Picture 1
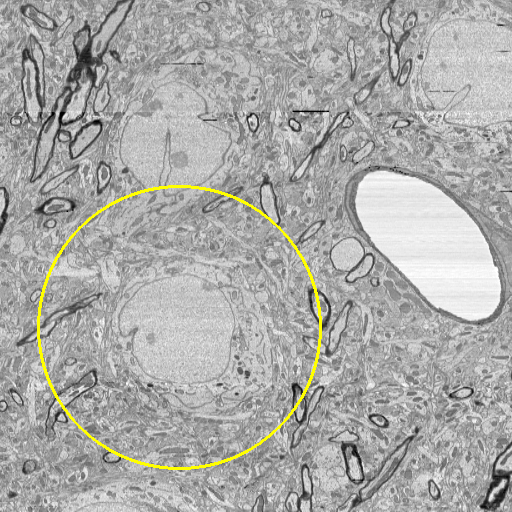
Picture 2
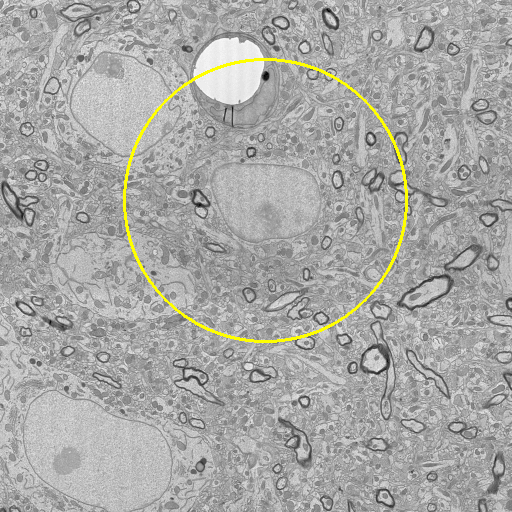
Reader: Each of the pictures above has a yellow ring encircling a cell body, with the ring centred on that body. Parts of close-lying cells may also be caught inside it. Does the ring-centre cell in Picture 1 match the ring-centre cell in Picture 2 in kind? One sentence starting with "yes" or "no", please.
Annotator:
No, Picture 1 and Picture 2 show ring-centre cells of two kinds.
